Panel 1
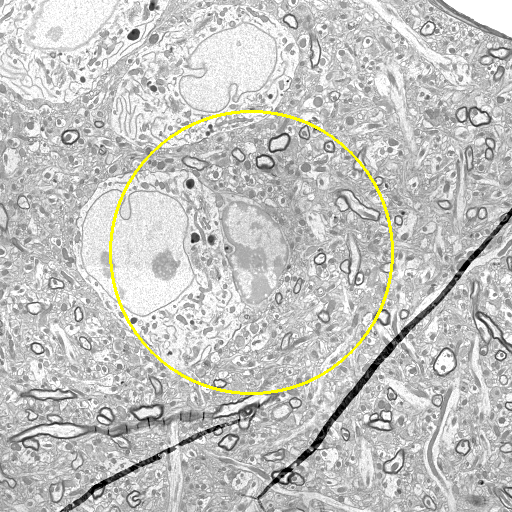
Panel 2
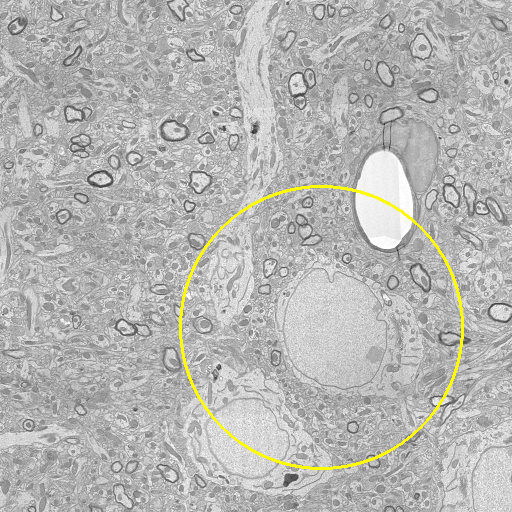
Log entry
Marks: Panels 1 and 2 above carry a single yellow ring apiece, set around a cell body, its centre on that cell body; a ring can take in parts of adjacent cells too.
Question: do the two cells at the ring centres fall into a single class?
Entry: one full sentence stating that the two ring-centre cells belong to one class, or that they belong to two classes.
The two ring-centre cells in Panels 1 and 2 belong to two classes.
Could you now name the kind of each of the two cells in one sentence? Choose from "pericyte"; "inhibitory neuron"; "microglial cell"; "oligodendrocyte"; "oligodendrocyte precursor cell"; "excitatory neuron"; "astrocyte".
The first ring encloses an oligodendrocyte; the second ring encloses an excitatory neuron.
